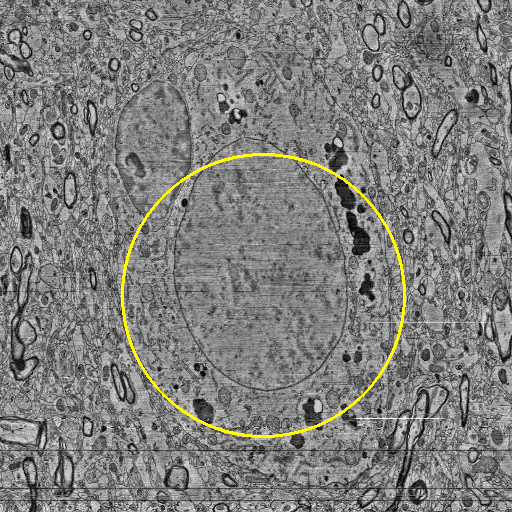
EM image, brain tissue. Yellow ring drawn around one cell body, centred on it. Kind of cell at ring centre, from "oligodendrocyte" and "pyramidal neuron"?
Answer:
pyramidal neuron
